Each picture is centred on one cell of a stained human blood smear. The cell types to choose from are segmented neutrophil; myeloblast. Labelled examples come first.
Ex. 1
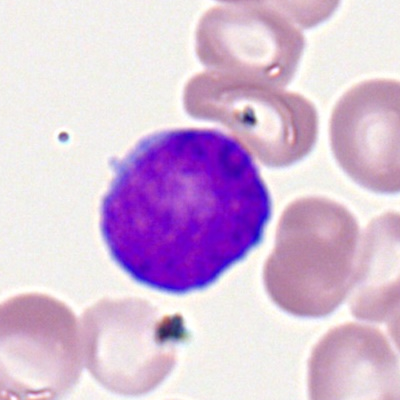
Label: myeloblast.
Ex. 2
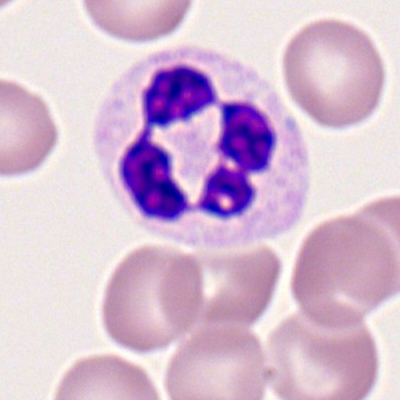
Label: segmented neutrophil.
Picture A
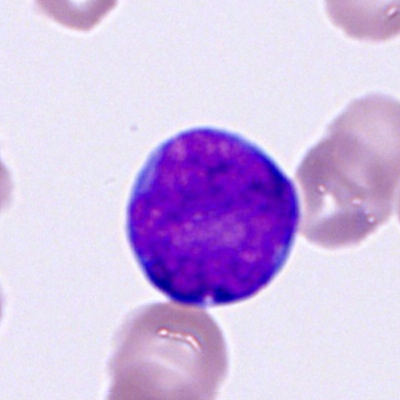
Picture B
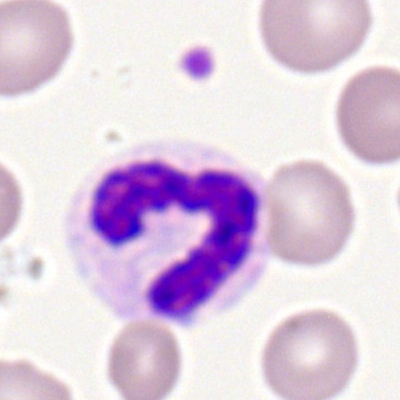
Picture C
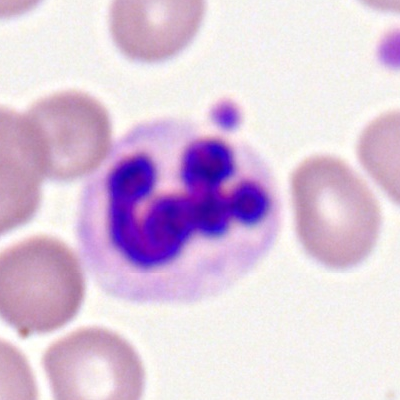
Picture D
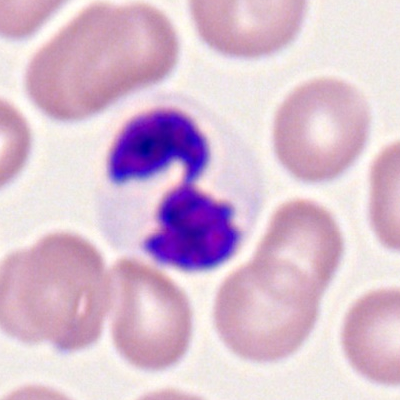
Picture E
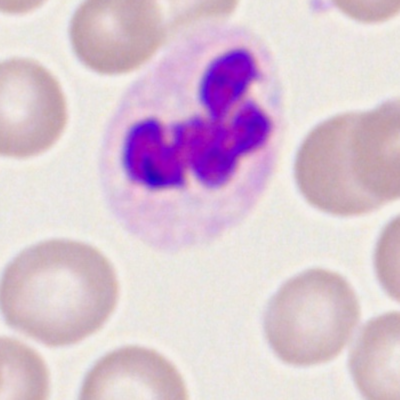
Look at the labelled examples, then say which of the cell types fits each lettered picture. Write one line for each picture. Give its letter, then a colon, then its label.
A: myeloblast.
B: segmented neutrophil.
C: segmented neutrophil.
D: segmented neutrophil.
E: segmented neutrophil.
